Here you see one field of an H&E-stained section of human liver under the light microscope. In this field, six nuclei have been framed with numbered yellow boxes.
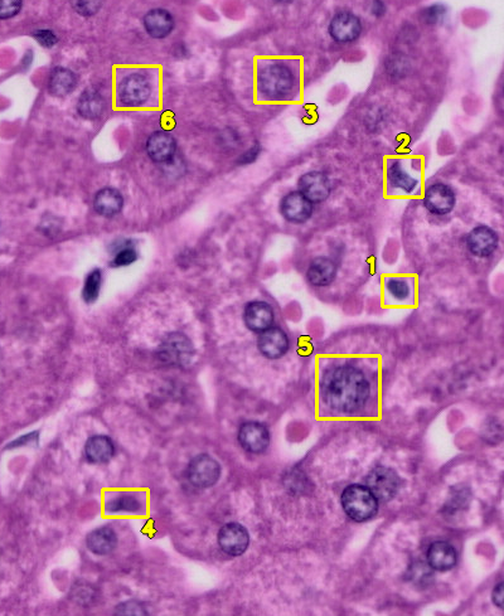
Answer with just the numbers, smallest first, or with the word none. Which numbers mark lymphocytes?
1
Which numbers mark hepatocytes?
3, 5, 6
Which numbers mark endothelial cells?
2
